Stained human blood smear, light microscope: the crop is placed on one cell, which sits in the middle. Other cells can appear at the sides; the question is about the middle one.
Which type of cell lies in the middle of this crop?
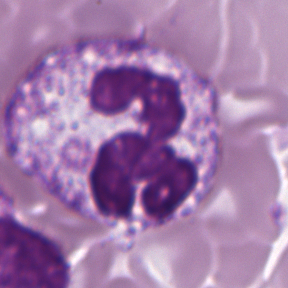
segmented neutrophil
